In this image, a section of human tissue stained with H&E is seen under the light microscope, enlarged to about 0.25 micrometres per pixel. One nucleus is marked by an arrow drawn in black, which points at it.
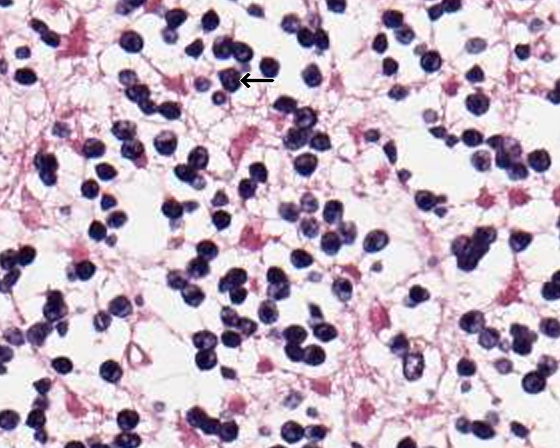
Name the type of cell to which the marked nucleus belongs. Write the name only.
cerebellar granule cell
